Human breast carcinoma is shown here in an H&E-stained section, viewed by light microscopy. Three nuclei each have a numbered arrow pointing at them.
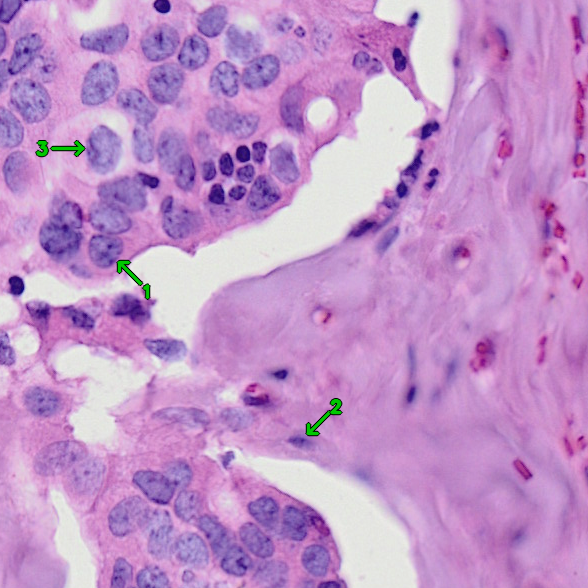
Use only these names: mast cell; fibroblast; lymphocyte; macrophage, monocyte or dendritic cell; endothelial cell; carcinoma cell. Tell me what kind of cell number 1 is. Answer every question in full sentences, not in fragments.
The cell identified by the number 1 is a carcinoma cell.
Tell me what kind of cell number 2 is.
The cell with the number 2 is a fibroblast.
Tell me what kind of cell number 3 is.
Cell number 3 in this section is a carcinoma cell.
